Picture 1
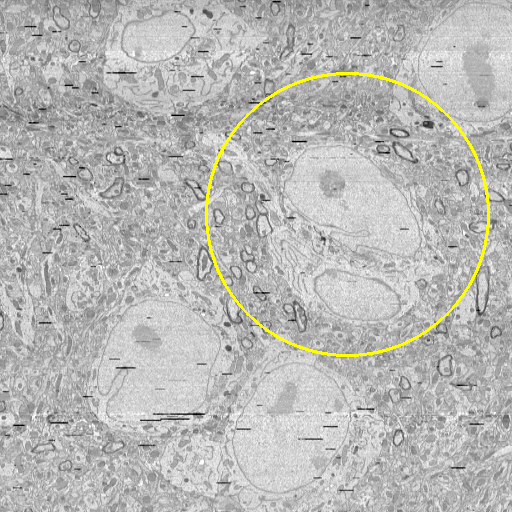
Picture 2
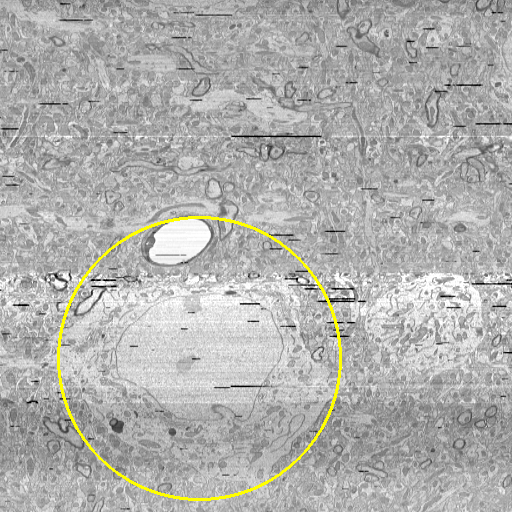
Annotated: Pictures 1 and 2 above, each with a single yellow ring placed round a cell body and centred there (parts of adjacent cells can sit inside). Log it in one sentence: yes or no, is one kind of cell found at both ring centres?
No, the ring centres of the two pictures hold cells of two kinds.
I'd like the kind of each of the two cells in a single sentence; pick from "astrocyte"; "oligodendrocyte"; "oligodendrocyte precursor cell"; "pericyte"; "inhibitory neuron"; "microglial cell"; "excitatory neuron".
The first ring marks an inhibitory neuron, and the second ring marks an excitatory neuron.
